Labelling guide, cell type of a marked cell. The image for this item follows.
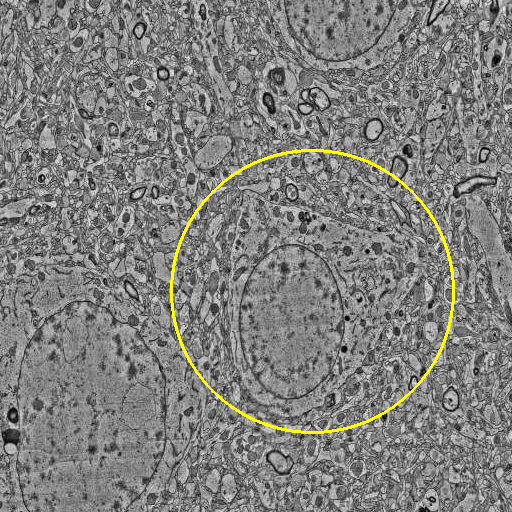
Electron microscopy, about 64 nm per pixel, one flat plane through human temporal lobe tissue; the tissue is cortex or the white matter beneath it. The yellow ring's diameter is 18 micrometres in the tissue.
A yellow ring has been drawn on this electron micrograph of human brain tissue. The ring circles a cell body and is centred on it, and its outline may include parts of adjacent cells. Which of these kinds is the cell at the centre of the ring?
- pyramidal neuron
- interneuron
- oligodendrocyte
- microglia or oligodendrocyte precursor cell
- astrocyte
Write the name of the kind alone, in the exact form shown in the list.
pyramidal neuron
